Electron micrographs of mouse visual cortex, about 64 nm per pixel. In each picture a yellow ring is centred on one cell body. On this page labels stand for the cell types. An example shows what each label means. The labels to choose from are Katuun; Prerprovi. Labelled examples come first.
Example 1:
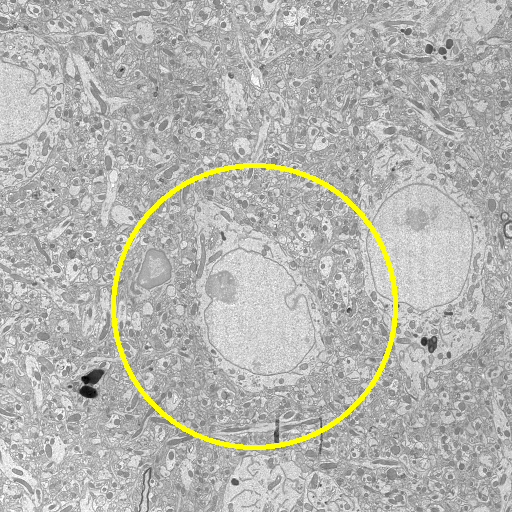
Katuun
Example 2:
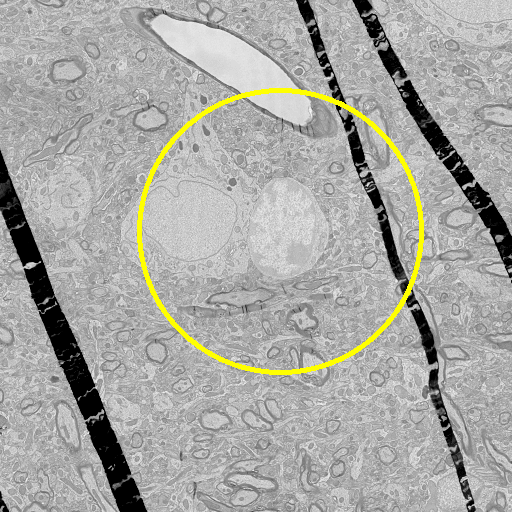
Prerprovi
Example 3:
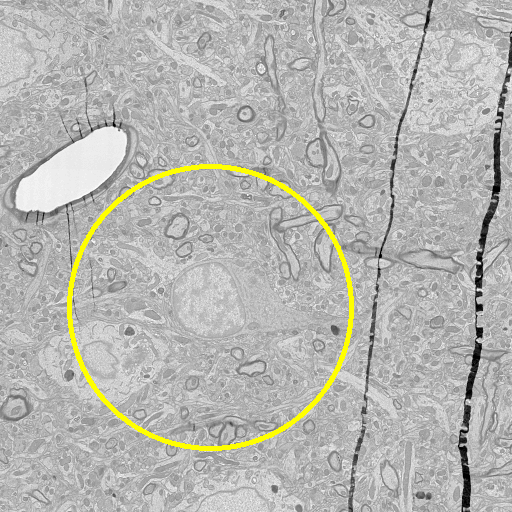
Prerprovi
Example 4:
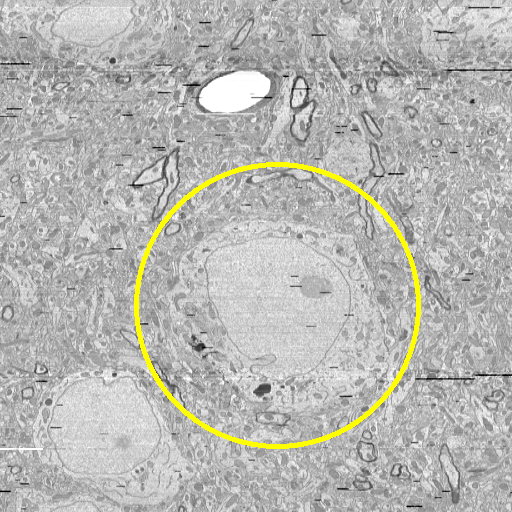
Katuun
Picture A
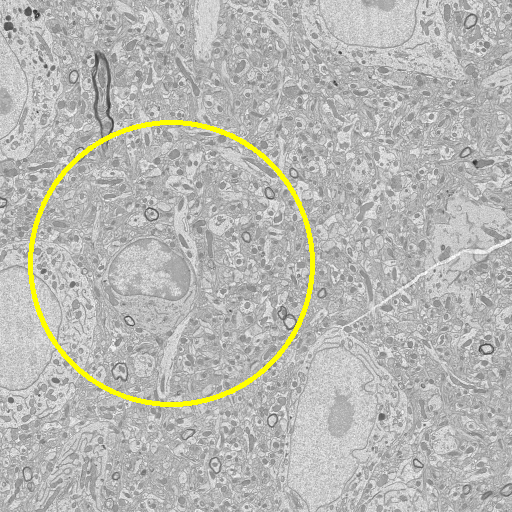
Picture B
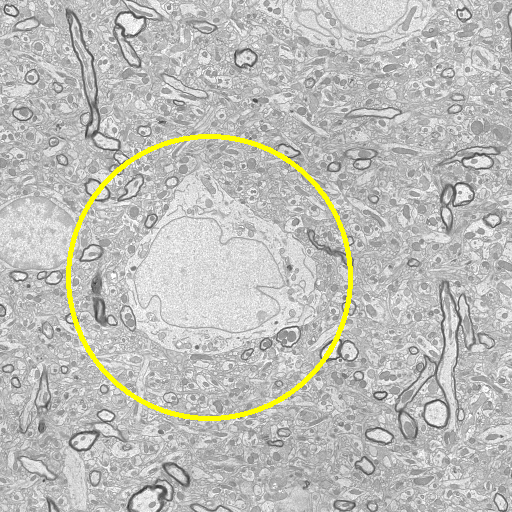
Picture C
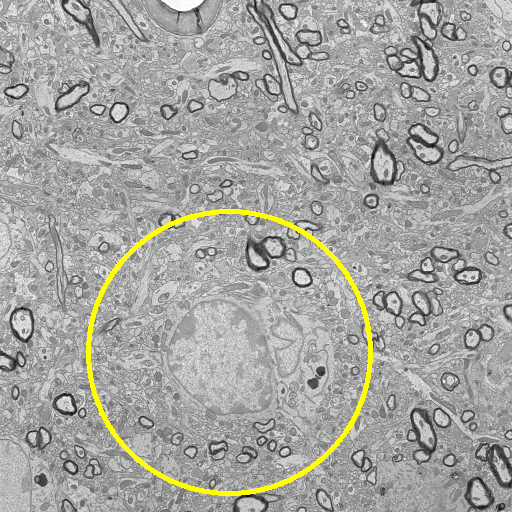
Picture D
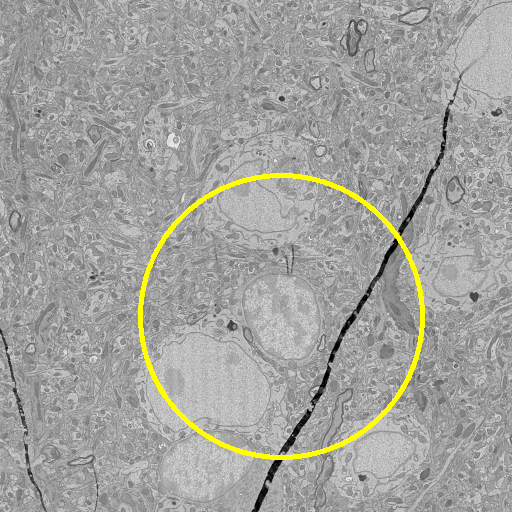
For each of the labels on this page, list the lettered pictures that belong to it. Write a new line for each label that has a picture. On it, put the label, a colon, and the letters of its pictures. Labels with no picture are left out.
Katuun: B
Prerprovi: A, C, D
